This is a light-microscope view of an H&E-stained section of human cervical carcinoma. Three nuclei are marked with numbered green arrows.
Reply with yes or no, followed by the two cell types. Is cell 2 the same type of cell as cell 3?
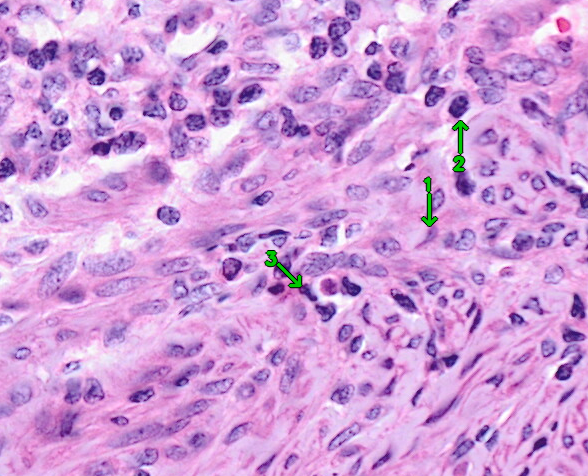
Yes, cells 2 and 3 both fall under lymphocytes.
